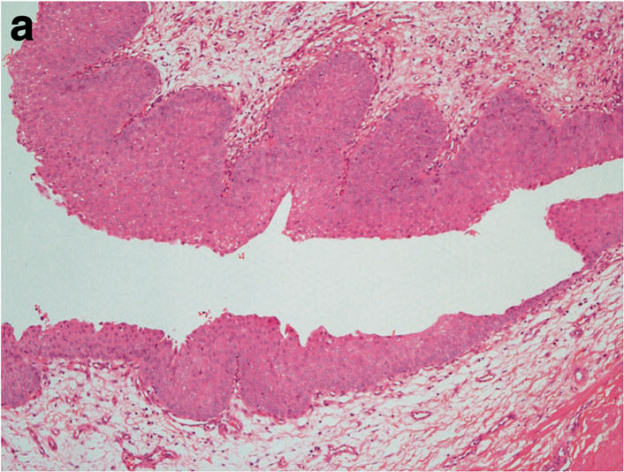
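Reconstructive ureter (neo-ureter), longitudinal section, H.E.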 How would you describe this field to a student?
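A section through a tubular organ shows a slit-like open lumen lined on both sides by a thick, continuous urothelial lining of many layers of closely packed cells with purple nuclei and pink cytoplasm. The epithelium forms broad rounded downgrowths into the underlying tissue. Beneath it lies loose, pale connective tissue containing scattered small vessels.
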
